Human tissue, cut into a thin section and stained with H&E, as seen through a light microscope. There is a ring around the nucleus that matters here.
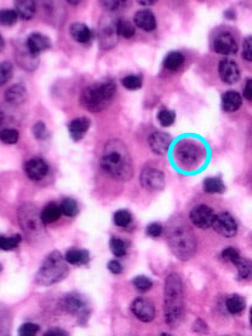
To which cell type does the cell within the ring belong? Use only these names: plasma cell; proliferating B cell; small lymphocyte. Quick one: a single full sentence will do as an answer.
In short, the cell within the ring on this section is a plasma cell.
